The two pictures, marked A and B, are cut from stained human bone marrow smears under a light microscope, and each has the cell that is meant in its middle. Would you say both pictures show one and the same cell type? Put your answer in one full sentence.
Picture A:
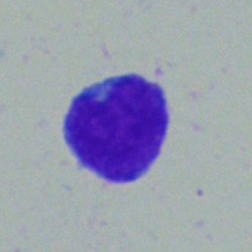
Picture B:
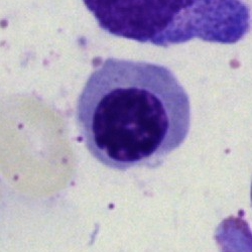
No, they differ: the cell is a blast in picture A and an erythroblast in picture B.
